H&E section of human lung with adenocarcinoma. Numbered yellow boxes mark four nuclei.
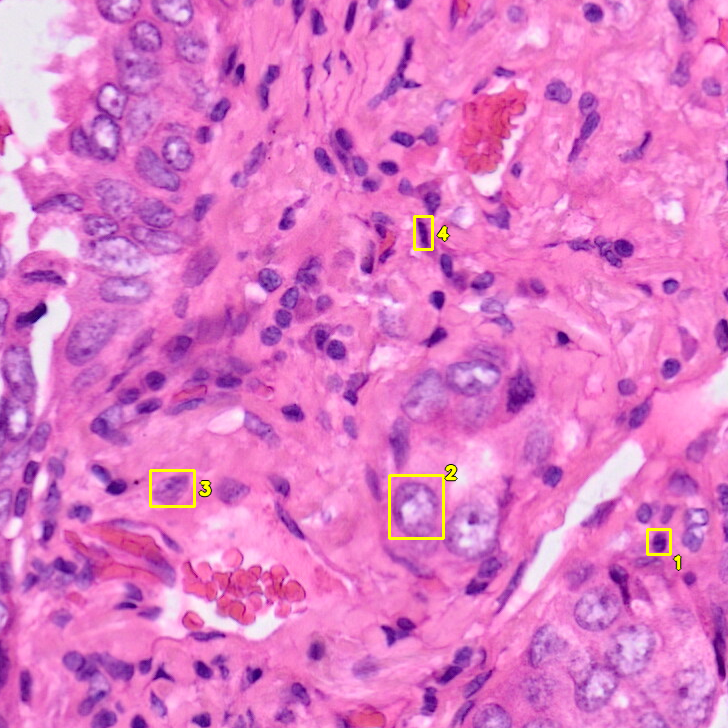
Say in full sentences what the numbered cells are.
Cell 1 is a lymphocyte. Cell 2 is a carcinoma cell. Cell 3 is a fibroblast. Cell 4 is a plasma cell.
